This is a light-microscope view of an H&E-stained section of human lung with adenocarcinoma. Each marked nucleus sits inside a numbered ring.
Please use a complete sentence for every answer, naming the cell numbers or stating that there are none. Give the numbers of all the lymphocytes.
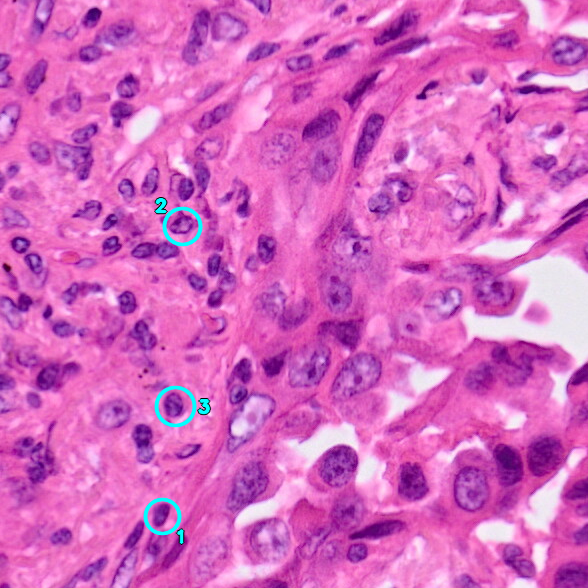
There is just one numbered cell that is a lymphocyte, and it is cell 1.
